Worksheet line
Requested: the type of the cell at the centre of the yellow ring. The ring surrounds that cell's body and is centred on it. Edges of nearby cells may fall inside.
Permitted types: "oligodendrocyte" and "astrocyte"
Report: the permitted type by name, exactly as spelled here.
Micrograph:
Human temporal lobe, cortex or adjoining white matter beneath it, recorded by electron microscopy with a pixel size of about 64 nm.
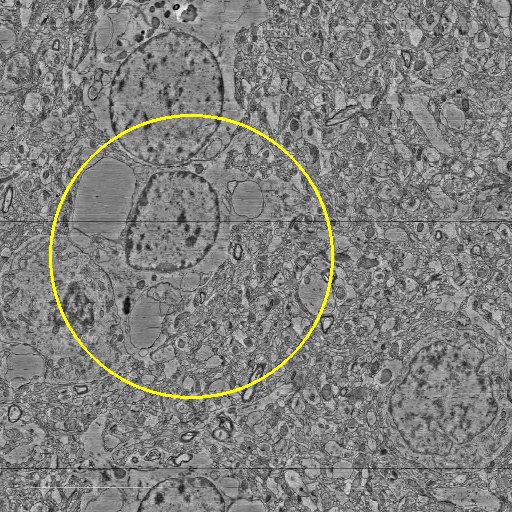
astrocyte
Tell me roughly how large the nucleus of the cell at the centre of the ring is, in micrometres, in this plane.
Approximately 7 micrometres long and 6 micrometres wide, in this plane.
